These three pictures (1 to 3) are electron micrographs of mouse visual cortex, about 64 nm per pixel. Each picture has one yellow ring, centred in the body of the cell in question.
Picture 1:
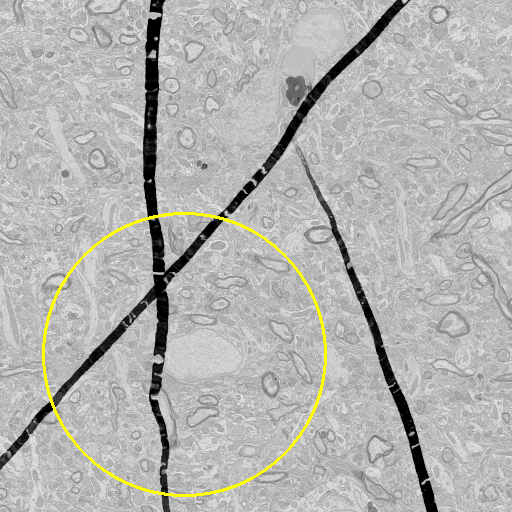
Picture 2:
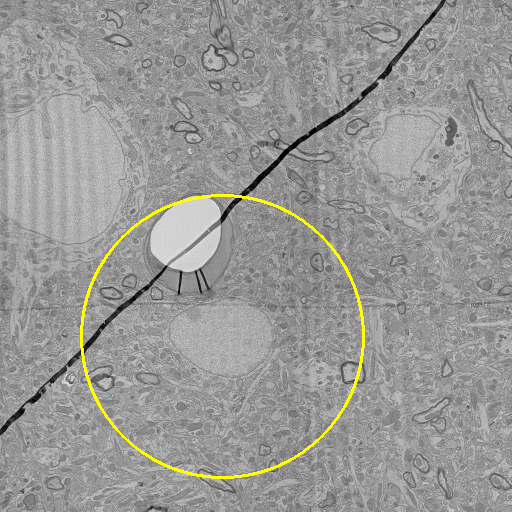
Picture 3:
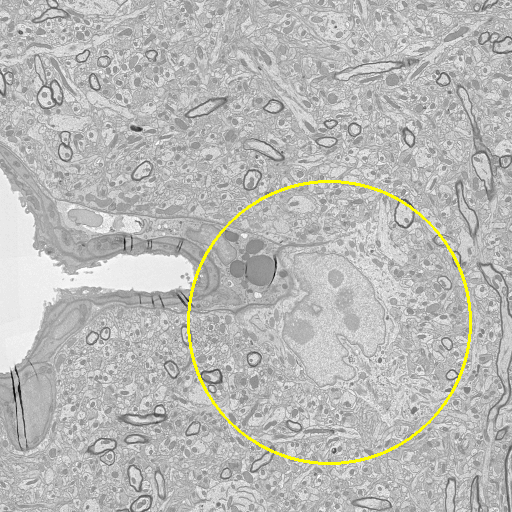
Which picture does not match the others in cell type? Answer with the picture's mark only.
2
